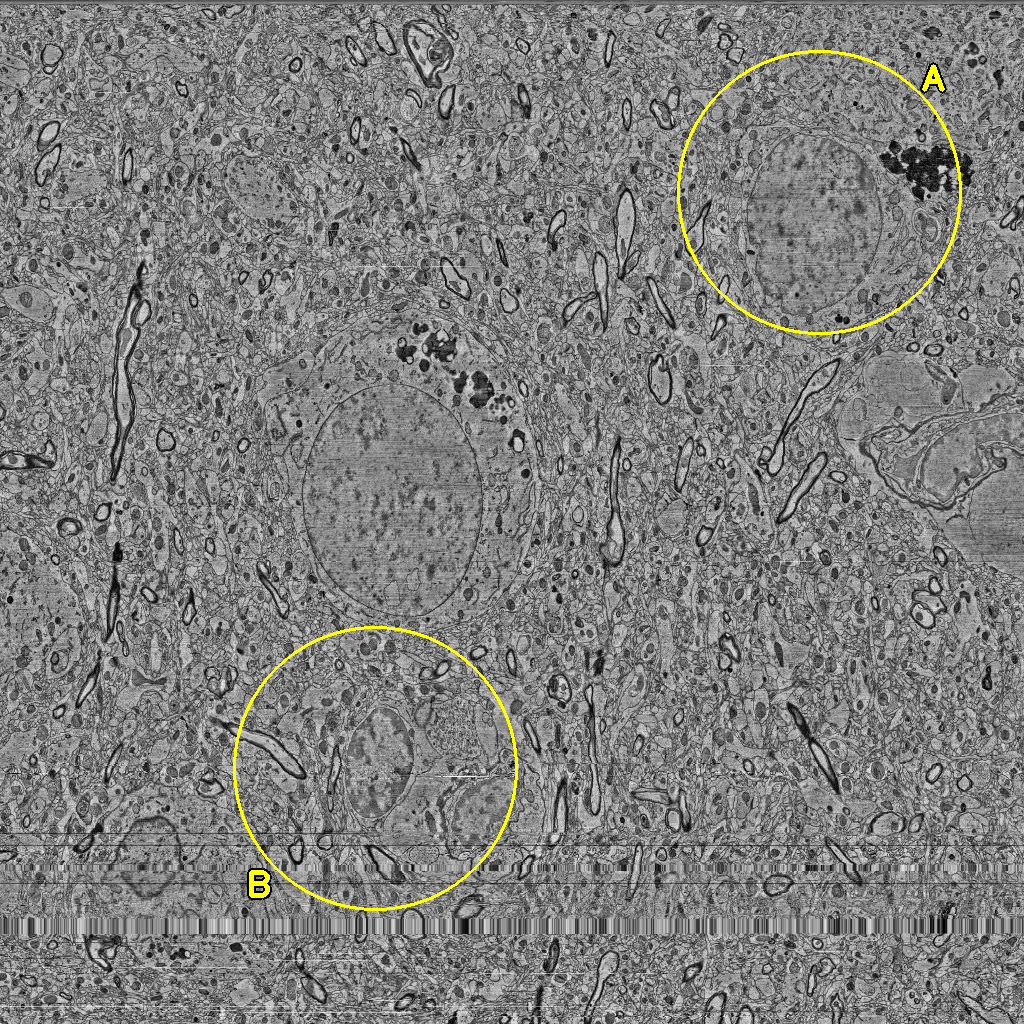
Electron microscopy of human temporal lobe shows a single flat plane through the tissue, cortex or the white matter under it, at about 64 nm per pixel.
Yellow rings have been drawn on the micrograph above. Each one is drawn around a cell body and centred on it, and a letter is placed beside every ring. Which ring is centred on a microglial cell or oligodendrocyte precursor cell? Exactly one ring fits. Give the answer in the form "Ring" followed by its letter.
Ring B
